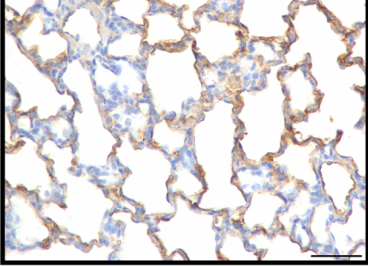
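This is lung parenchyma made up of many thin-walled air spaces separated by slender septa. The septa contain scattered round to oval blue-stained nuclei of the wall cells. A brown stain runs along much of the septal walls, most strongly at their edges facing the air spaces. The air spaces are empty and vary in size and shape.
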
